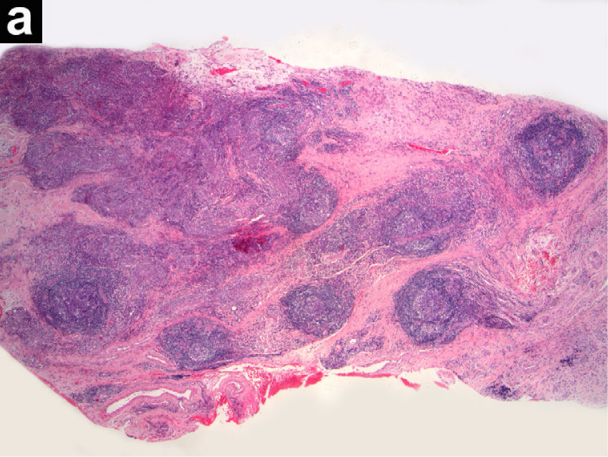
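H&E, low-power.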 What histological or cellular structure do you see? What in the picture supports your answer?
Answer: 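Lymphoid follicles. Several rounded dark purple nodules with paler centres. The nodules are separated by pink fibrous tissue.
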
